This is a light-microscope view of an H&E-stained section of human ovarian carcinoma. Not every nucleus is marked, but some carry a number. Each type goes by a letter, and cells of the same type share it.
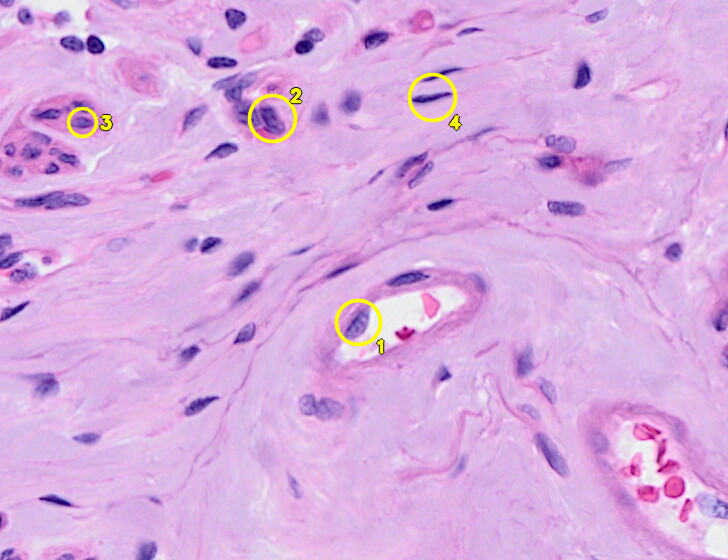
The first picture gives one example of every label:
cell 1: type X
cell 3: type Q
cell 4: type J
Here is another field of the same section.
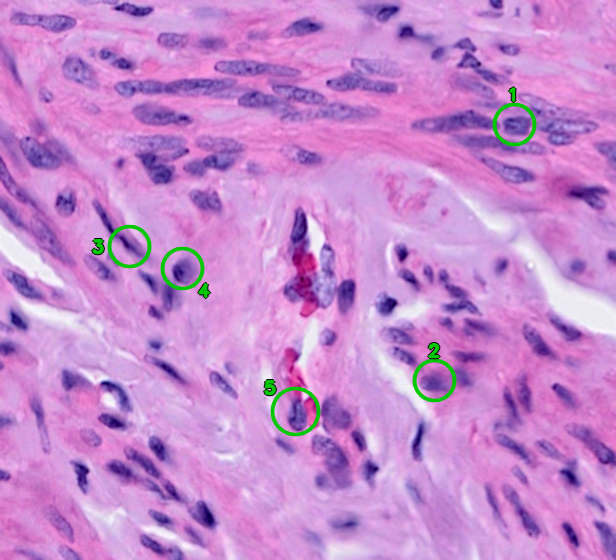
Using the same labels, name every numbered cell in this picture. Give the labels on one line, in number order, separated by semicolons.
type Q; type Q; type Q; type J; type X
